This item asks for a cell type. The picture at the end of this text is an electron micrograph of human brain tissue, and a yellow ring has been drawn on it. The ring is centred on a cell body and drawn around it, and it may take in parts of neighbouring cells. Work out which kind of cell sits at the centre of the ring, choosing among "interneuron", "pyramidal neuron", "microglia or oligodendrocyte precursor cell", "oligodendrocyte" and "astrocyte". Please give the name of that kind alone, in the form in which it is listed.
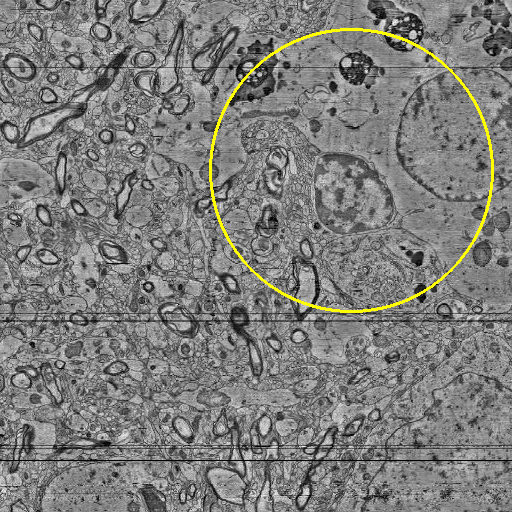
microglia or oligodendrocyte precursor cell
